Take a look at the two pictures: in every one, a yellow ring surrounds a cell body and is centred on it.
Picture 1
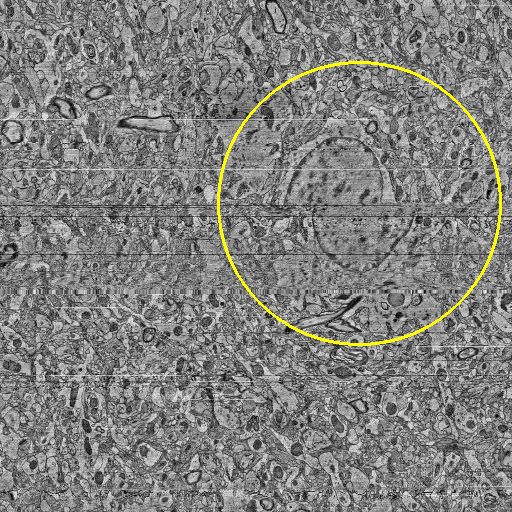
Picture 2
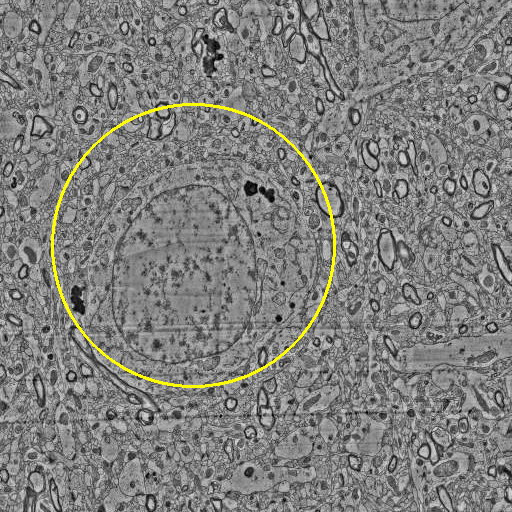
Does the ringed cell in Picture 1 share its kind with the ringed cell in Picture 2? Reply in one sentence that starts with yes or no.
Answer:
No, the two centred cells, one per picture, are of two kinds.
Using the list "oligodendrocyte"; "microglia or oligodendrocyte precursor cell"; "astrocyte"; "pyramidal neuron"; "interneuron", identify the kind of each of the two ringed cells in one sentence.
The first is an astrocyte and the second is a pyramidal neuron.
